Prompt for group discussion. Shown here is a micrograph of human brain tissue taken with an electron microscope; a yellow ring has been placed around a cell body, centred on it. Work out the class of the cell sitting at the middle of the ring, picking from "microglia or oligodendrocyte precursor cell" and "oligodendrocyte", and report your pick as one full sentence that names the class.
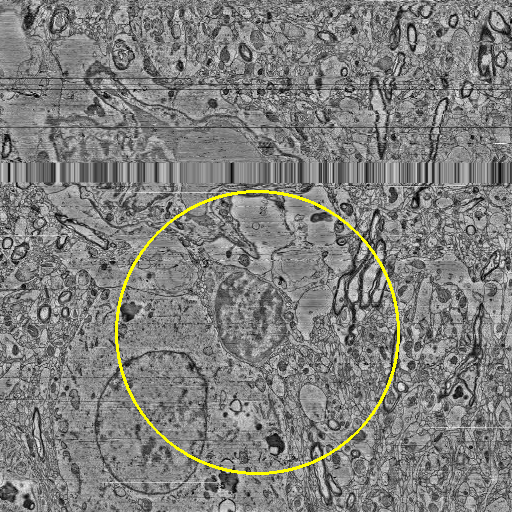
The cell sitting at the middle of the yellow ring is an oligodendrocyte.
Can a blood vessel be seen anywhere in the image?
Yes, a blood vessel can be seen.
